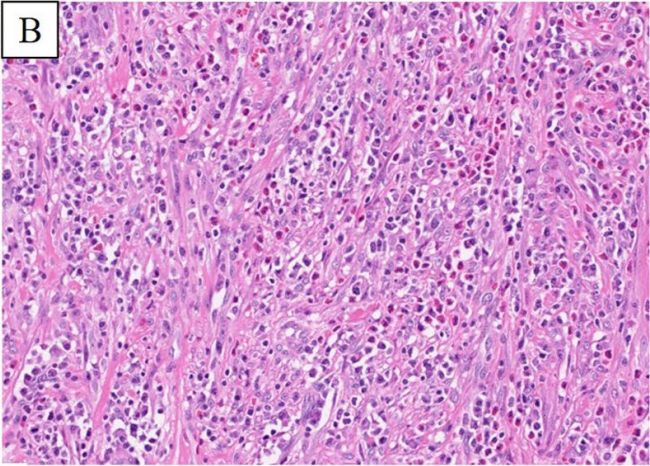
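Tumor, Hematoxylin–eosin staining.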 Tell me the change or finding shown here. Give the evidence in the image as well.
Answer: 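Many small round cells lie scattered among the spindle cells. Numerous cells have bright red-pink granular cytoplasm. Round cells with small dark nuclei are mixed throughout the pink stroma.
The stroma was infiltrated by inflammatory cells.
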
